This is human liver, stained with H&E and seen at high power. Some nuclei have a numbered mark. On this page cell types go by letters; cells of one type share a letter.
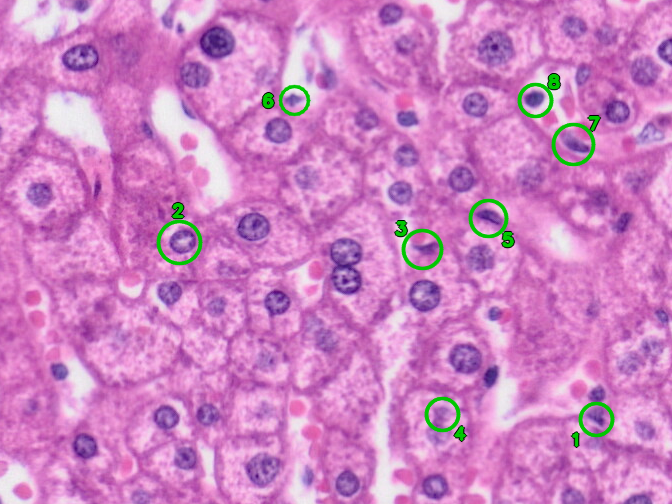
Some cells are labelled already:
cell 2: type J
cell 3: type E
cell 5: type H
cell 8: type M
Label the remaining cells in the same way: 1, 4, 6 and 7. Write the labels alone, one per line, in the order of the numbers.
type H
type J
type M
type E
